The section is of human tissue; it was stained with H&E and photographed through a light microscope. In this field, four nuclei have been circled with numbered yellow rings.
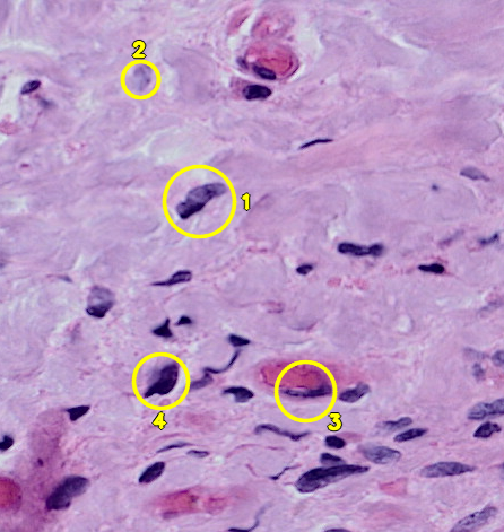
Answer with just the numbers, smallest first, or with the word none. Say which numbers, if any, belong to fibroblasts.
1, 2, 4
